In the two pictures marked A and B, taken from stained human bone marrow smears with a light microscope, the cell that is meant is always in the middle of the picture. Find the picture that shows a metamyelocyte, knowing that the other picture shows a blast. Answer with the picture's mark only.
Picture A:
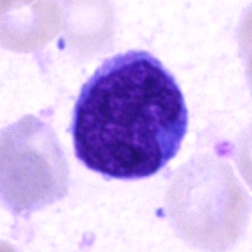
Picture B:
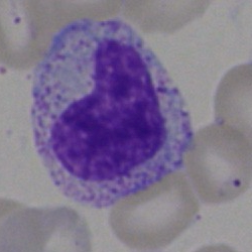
B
